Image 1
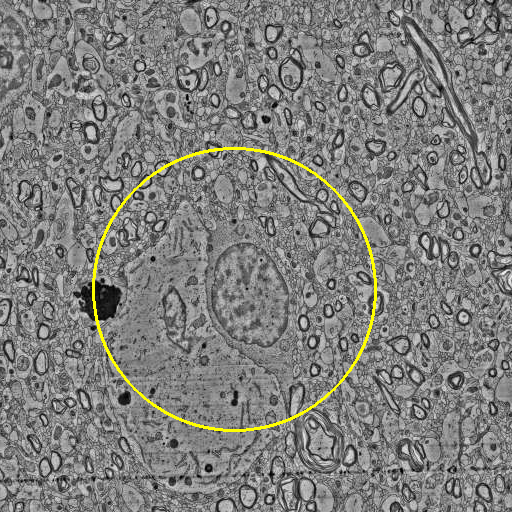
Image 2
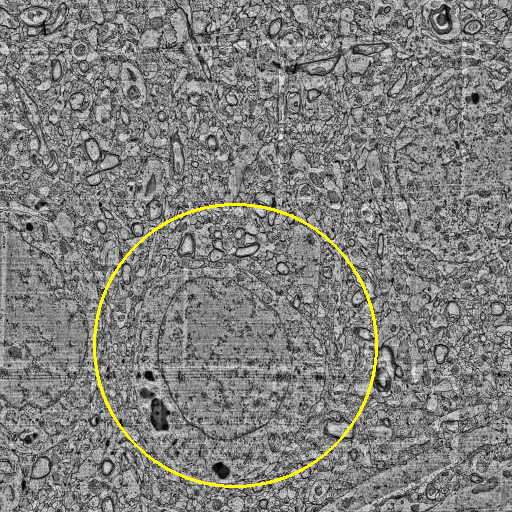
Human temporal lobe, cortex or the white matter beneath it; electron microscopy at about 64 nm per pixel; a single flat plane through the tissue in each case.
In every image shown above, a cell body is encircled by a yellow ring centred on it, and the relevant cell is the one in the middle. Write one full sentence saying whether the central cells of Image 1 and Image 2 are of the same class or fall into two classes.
The cell at the ring's centre in Image 1 and its counterpart in Image 2 fall into two classes.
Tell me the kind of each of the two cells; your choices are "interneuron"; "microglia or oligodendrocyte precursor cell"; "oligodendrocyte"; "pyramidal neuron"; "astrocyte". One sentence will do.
The ringed cell is an oligodendrocyte in the first picture and a pyramidal neuron in the second picture.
